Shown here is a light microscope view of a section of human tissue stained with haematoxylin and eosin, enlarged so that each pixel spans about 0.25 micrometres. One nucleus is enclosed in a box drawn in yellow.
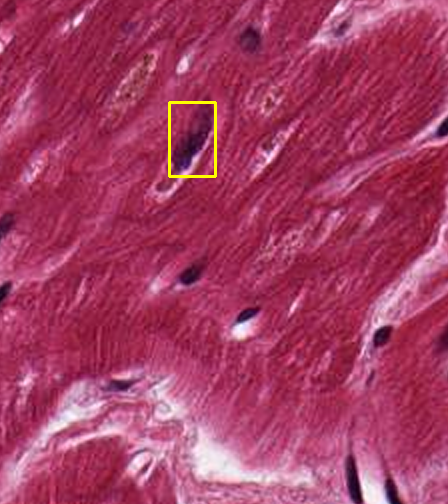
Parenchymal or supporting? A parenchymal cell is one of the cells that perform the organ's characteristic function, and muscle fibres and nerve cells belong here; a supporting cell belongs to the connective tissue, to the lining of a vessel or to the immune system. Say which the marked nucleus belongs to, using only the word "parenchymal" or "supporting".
parenchymal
